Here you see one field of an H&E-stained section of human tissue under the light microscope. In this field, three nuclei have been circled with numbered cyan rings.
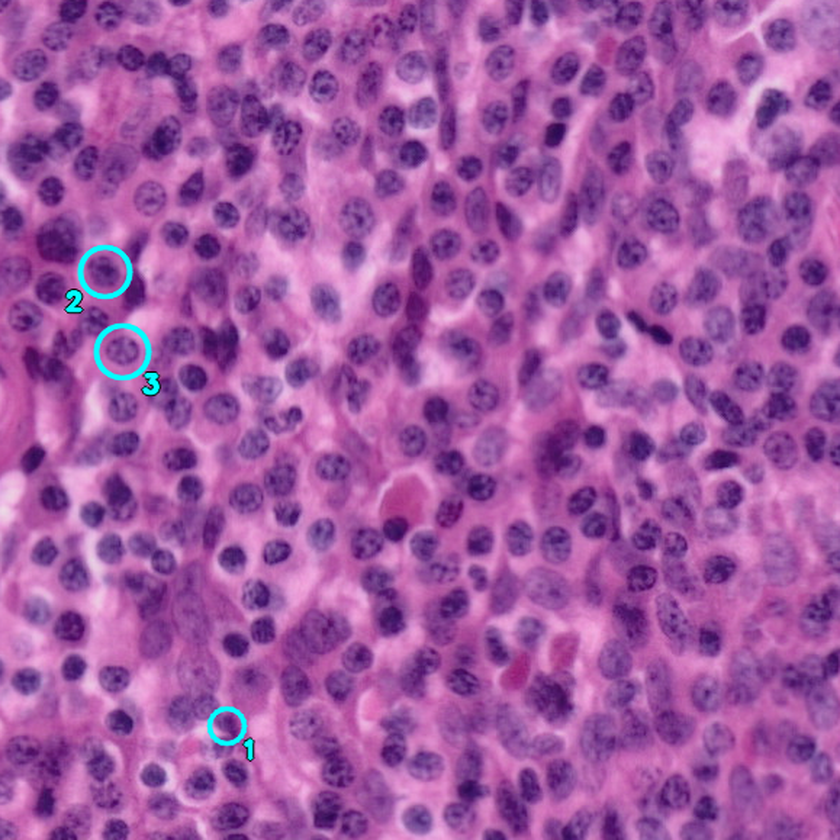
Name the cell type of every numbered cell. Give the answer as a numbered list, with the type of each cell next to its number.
1. squamous epithelial cell
2. plasma cell
3. plasma cell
